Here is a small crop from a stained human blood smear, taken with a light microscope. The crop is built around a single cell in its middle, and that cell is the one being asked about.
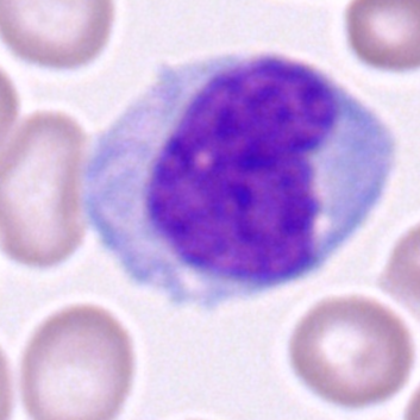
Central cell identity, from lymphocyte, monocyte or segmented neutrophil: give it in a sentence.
The cell at the central position in this crop is a monocyte.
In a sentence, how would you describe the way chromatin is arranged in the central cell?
Its chromatin is clumped in a coarse pattern.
